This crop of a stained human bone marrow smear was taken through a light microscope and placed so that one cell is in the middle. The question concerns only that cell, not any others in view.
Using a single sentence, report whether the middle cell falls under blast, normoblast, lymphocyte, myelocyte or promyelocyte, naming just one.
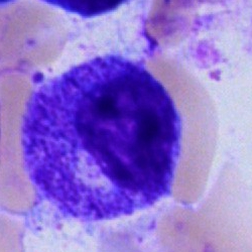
At the center of the crop sits a myelocyte.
